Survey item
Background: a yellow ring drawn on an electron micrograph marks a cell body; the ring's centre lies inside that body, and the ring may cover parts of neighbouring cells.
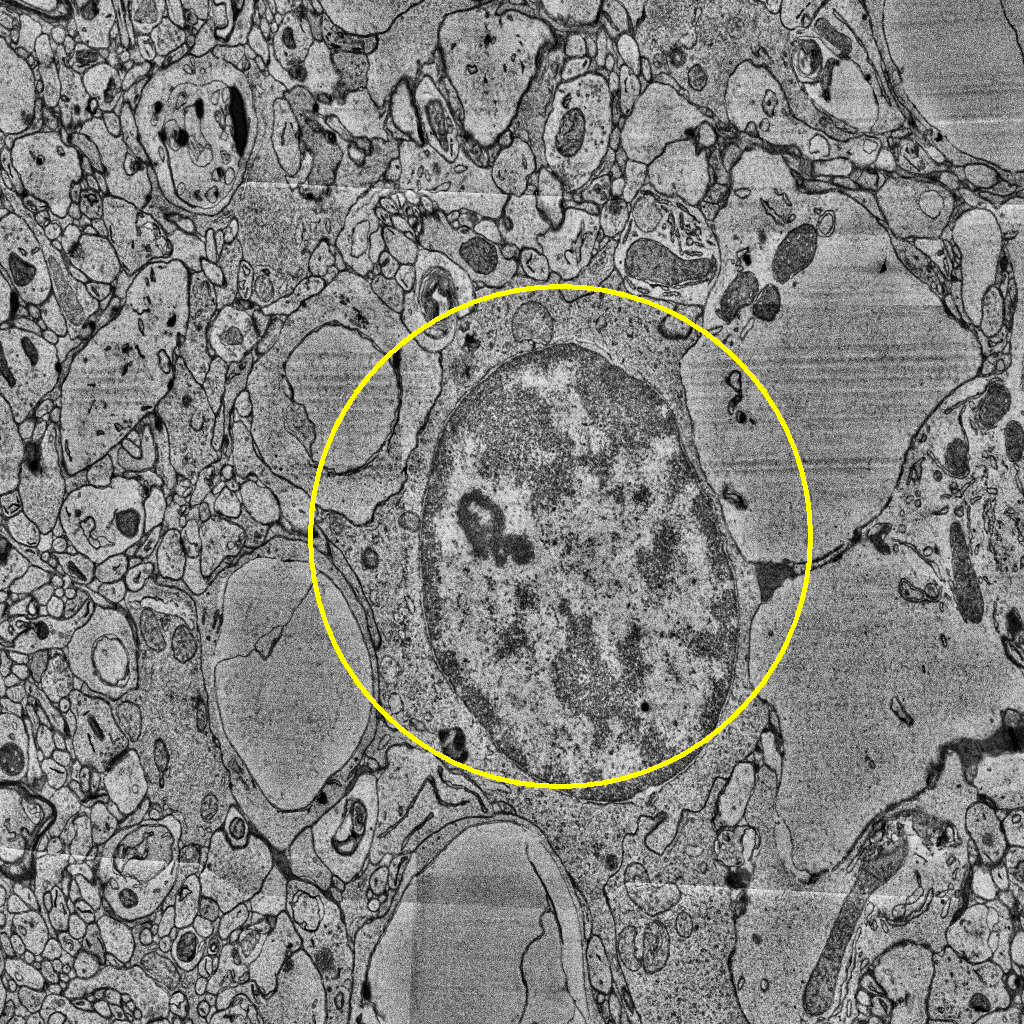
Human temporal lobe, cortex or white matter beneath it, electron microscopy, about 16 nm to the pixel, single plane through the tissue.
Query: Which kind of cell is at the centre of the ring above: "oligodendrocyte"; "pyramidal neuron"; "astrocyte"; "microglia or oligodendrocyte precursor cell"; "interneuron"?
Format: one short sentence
The cell in the middle of the ring is an oligodendrocyte.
